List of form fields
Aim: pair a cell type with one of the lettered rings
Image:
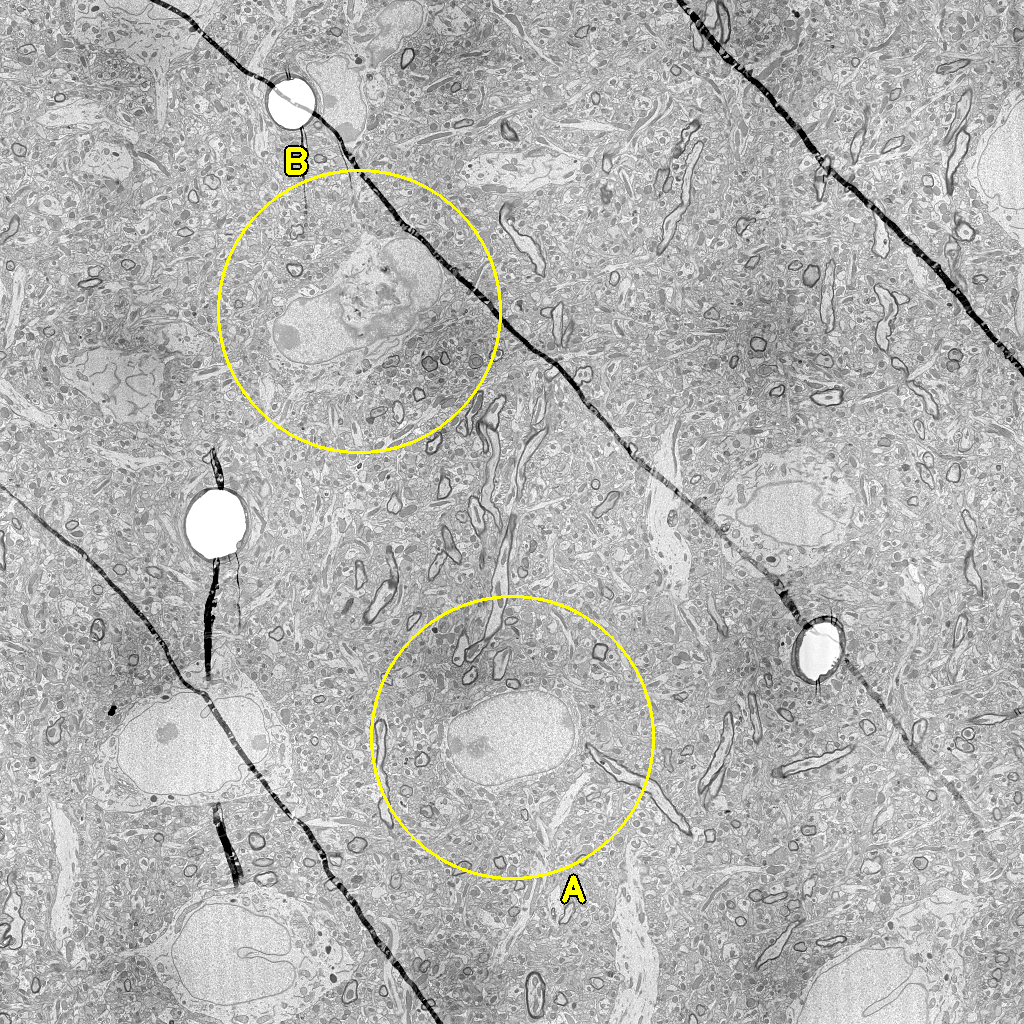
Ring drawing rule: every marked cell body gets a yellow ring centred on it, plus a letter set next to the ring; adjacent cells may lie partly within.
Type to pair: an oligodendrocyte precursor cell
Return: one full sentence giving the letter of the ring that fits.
Ring B is the one whose central cell body is that kind of cell.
